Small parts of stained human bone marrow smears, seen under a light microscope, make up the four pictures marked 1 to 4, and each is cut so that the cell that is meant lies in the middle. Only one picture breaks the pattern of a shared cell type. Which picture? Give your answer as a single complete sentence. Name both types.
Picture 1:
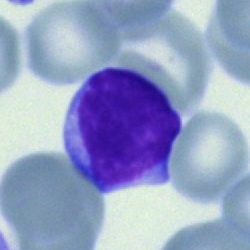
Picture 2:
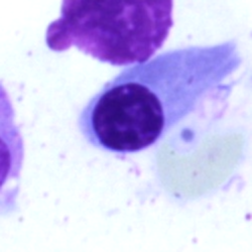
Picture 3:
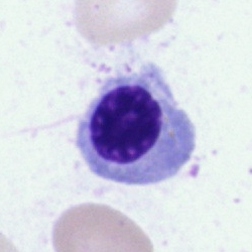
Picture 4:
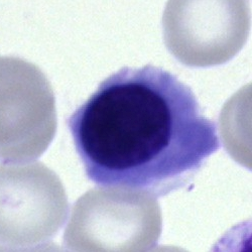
All pictures except 1 show erythroblasts; picture 1 shows a lymphocyte.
